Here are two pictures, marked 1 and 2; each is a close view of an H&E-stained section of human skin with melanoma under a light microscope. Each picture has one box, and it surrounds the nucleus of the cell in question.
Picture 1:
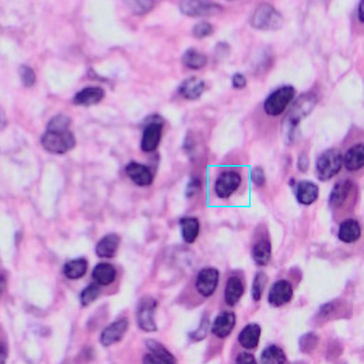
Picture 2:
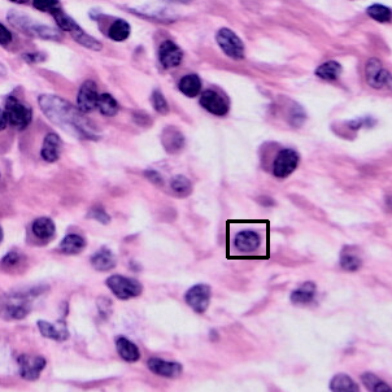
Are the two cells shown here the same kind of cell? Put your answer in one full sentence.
Yes, both cells are plasma cells.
